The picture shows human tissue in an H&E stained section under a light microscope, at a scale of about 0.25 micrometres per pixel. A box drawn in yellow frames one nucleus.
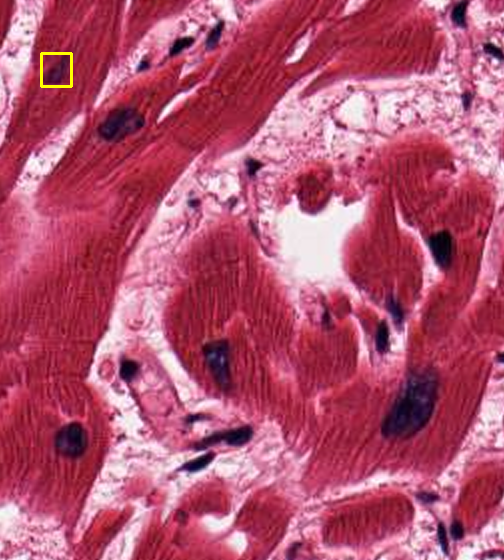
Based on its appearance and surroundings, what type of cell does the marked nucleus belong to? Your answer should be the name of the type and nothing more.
cardiomyocyte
